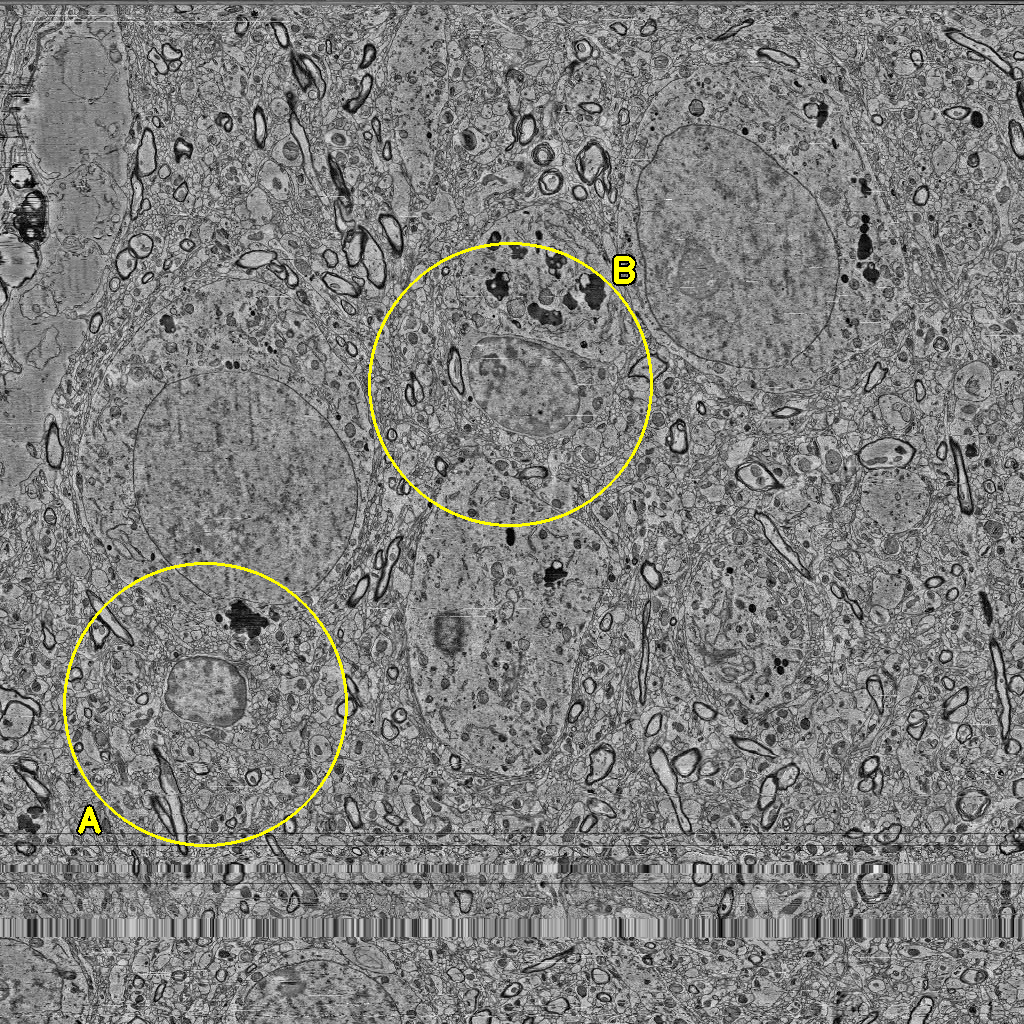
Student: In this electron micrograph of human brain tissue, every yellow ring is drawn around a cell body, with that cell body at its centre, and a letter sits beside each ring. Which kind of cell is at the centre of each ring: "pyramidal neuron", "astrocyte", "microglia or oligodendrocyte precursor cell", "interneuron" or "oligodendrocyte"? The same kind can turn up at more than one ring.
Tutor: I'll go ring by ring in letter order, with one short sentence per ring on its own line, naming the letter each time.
Ring A: the cell at its centre is a microglial cell or oligodendrocyte precursor cell.
Ring B: the cell at its centre is an oligodendrocyte.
